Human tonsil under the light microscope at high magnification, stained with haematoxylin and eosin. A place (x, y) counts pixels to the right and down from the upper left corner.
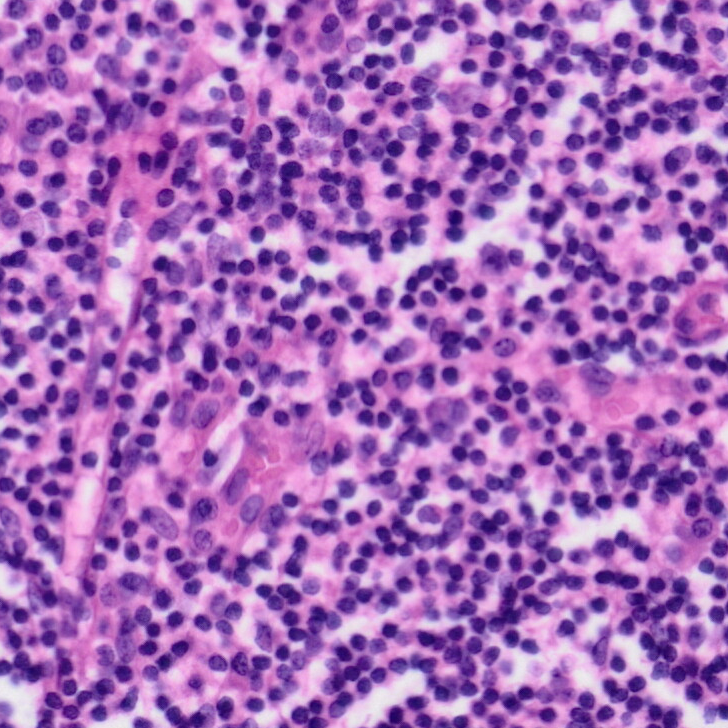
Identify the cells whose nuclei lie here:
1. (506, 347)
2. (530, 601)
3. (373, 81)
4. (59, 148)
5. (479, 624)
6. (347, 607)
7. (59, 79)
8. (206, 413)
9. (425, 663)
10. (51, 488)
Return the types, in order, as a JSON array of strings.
["plasma cell", "small lymphocyte", "small lymphocyte", "plasma cell", "small lymphocyte", "small lymphocyte", "plasma cell", "endothelial cell", "small lymphocyte", "small lymphocyte"]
